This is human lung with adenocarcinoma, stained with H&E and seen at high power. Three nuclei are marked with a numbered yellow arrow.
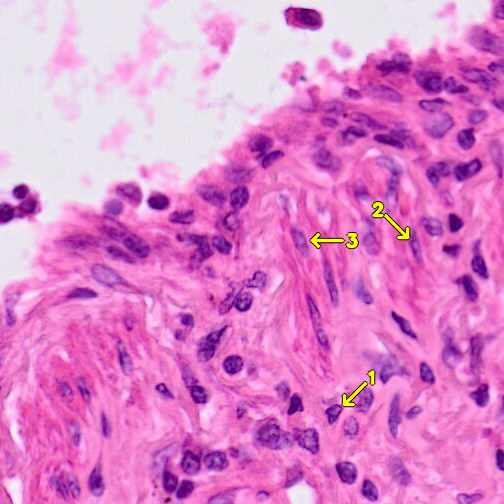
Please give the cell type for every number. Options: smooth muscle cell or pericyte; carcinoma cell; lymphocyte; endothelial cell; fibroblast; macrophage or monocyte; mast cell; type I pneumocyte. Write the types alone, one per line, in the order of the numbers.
lymphocyte
smooth muscle cell or pericyte
smooth muscle cell or pericyte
